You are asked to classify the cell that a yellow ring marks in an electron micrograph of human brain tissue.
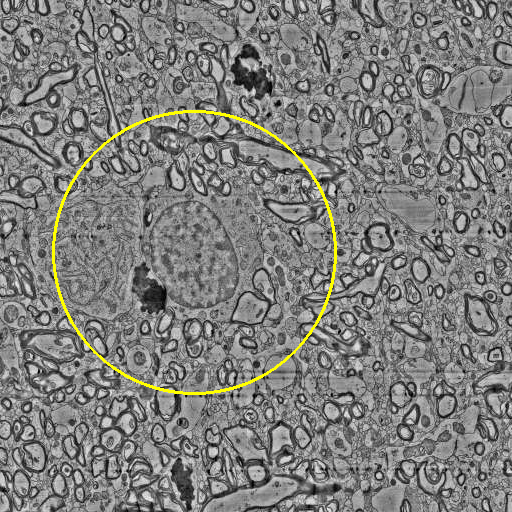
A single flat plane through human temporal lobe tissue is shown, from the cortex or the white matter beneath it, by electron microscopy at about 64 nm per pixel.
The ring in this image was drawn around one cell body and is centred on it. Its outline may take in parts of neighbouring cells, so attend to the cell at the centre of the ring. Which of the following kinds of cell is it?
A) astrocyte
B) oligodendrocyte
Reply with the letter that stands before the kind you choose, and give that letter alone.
B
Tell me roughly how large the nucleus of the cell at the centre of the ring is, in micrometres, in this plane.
The ringed cell's nucleus measures approximately 7 by 5 micrometres in this plane.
